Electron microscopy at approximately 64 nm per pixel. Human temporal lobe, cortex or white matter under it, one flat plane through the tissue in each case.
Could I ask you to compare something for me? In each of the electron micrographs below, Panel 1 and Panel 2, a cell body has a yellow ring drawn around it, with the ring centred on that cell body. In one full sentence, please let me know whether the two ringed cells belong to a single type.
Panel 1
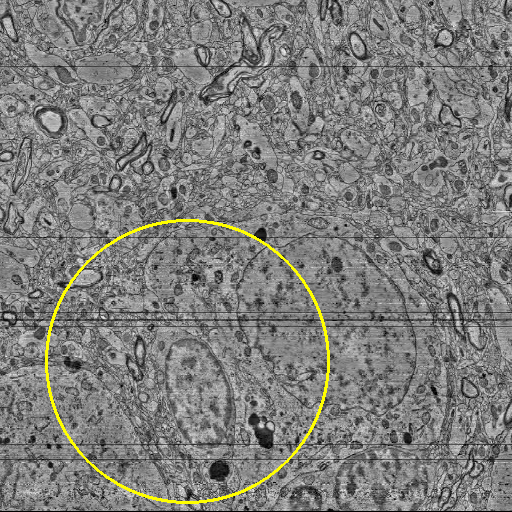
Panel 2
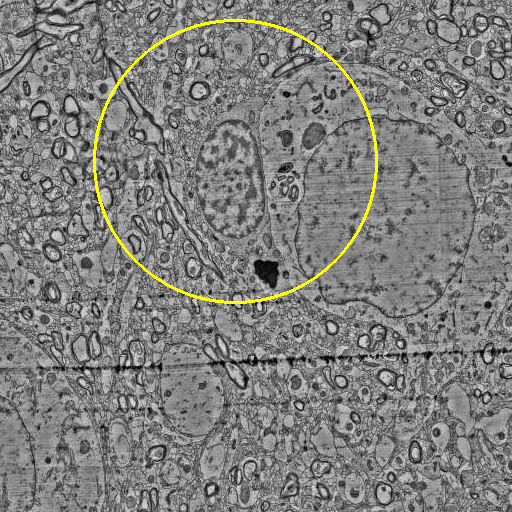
Yes, the two cells at the centres of the rings are of one type.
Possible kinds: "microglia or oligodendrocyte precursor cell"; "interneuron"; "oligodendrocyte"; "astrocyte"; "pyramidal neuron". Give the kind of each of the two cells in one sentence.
Each cell, in the first picture and the second, is an oligodendrocyte.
